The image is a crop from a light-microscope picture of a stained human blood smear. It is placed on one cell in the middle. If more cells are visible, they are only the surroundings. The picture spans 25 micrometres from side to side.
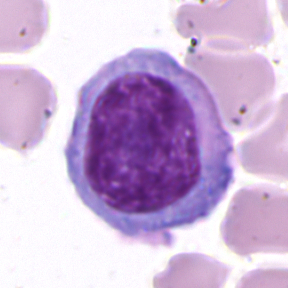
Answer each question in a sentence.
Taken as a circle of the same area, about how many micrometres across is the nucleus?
Taken as a circle, the nucleus has a diameter of about 11 micrometres.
